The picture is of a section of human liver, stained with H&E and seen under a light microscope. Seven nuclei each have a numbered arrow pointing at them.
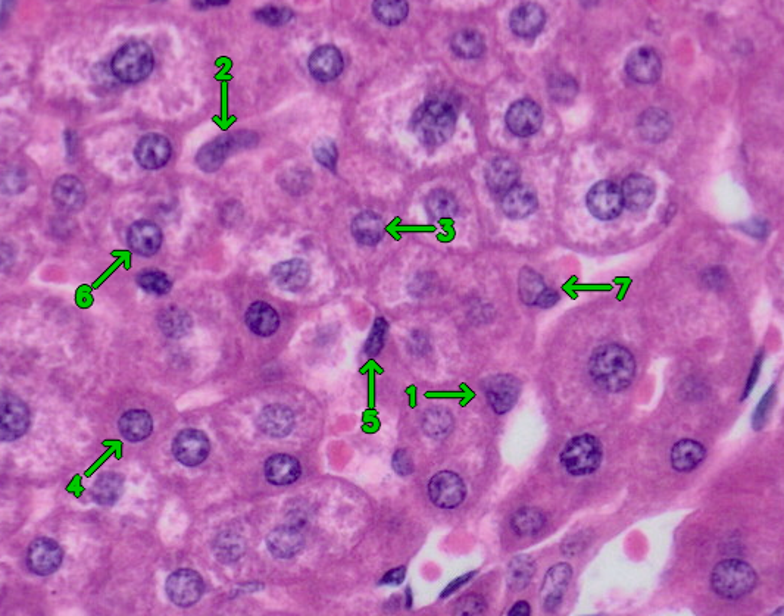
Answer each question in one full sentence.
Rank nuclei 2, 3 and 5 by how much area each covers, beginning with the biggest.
Largest first, the order by area is 2, 3, 5.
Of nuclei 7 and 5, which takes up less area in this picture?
Nucleus 5 covers less area, with nucleus 7 about 1.5 times as large.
